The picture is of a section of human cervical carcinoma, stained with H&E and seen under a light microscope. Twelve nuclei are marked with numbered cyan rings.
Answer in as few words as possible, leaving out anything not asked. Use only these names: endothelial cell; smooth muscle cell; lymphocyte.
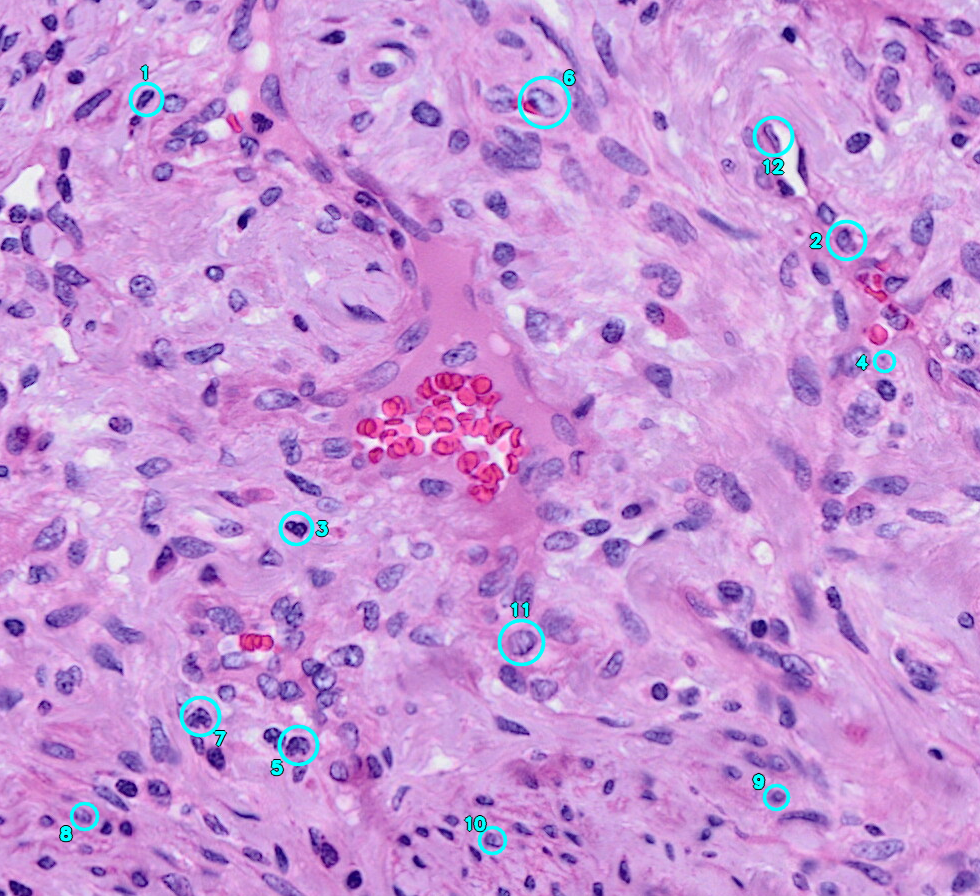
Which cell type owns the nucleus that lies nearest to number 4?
lymphocyte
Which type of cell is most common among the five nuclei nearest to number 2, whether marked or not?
endothelial cell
